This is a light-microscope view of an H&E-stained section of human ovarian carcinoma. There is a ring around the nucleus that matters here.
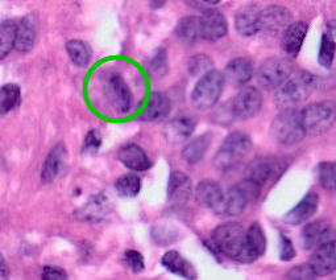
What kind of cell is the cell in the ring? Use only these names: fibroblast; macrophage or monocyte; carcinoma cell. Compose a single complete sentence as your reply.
Cytologically, the cell in the ring is to be regarded as a carcinoma cell.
